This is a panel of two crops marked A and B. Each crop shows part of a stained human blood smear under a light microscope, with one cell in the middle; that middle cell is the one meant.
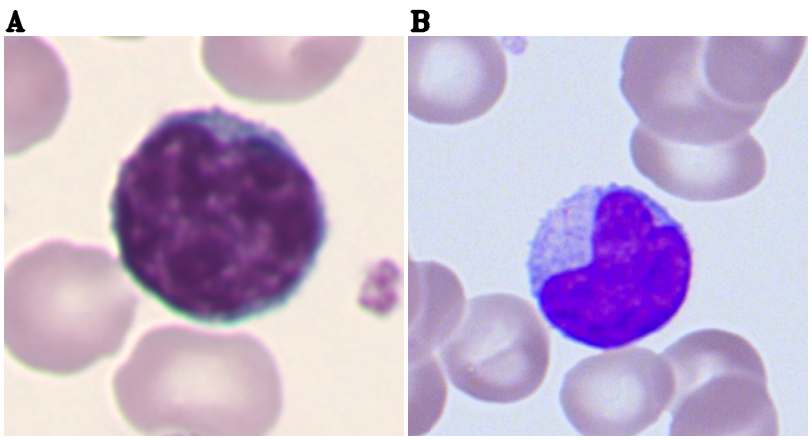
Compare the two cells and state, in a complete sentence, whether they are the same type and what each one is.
Yes, the centre cells of both crops are lymphocytes.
